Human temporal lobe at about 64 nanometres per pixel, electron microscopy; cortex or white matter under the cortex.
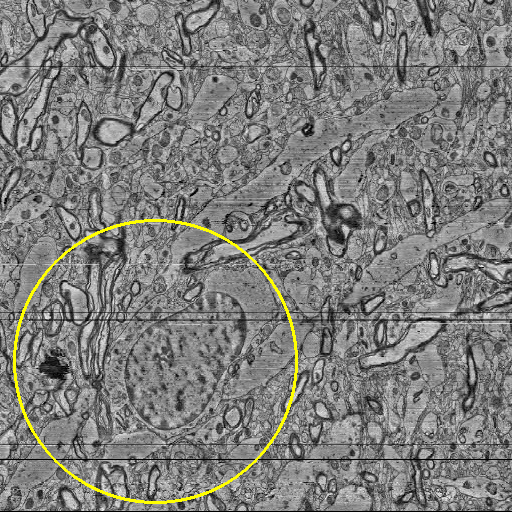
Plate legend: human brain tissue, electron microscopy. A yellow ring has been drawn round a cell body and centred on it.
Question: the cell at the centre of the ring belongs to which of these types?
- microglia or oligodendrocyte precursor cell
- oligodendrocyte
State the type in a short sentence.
The cell in the middle of the ring is a microglial cell or oligodendrocyte precursor cell.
